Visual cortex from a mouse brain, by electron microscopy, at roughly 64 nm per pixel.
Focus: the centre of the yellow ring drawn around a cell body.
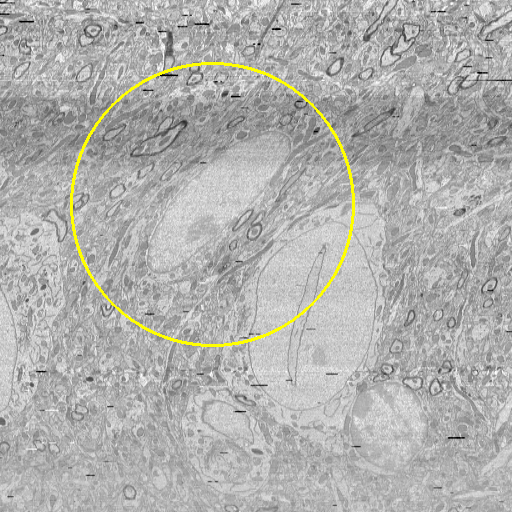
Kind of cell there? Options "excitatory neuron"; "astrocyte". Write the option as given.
astrocyte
